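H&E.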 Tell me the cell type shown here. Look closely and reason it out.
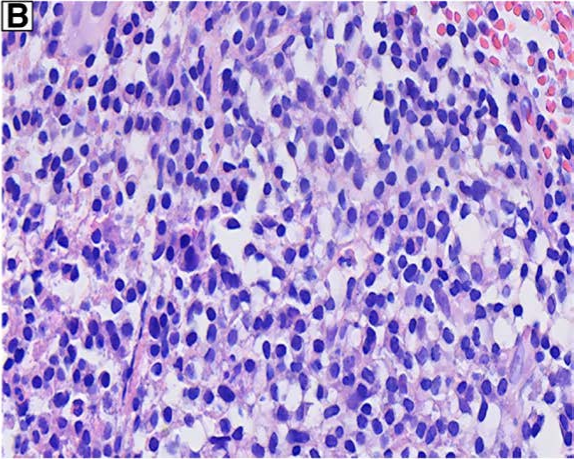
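Round to oval cells with dark round nuclei. Nuclei lie toward one side of pink-purple cytoplasm. Cells lie singly, not in cohesive clusters.
Conclusion: plasma cell-like morphology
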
